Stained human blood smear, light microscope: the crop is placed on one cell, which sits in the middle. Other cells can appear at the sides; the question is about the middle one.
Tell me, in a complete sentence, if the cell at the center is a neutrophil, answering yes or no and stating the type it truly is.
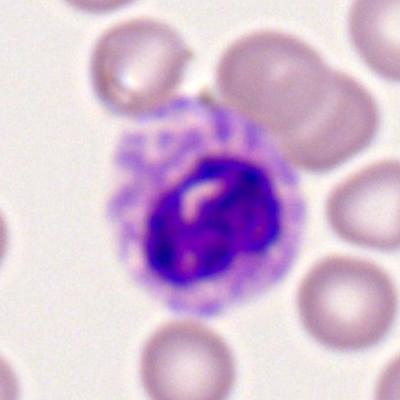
Yes, the middle cell is properly termed a neutrophil.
